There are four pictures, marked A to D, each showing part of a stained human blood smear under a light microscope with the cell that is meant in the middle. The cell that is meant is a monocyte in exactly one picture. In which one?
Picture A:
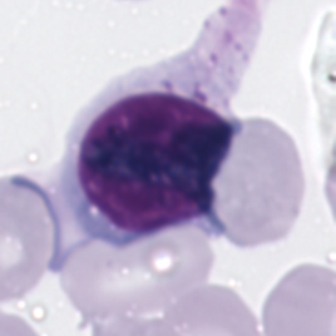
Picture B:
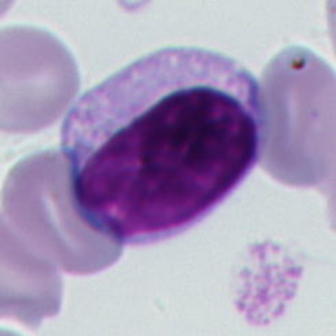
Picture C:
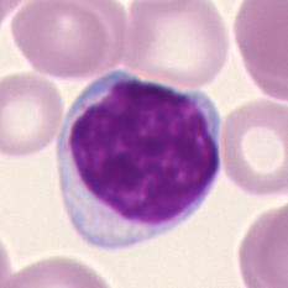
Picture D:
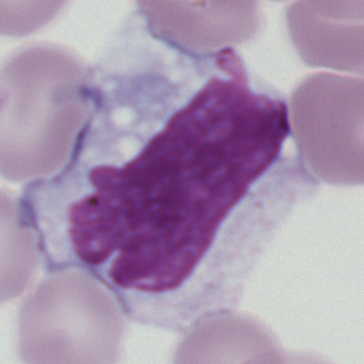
D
